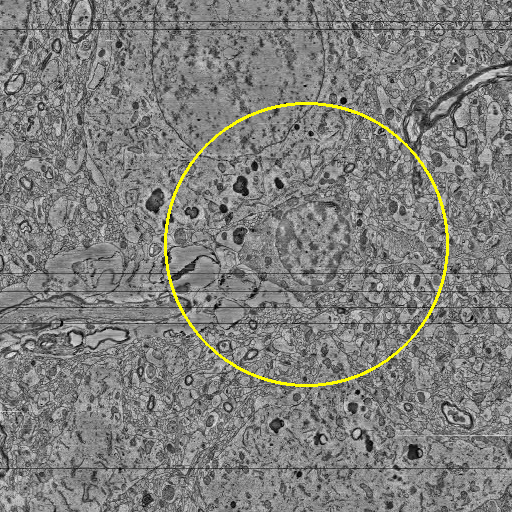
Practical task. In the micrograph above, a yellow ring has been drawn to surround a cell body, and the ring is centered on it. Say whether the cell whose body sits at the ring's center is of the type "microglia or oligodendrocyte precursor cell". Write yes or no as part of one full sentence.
No, the cell at the center of the ring above is of another type.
